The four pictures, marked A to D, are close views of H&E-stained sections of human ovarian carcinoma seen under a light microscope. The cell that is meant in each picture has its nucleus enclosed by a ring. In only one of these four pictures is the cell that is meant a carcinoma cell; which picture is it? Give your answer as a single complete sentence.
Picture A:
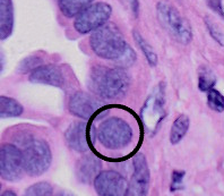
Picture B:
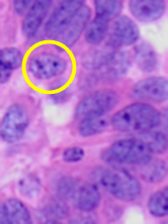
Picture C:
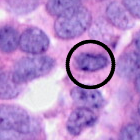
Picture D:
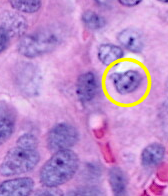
It is picture A that shows the carcinoma cell.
